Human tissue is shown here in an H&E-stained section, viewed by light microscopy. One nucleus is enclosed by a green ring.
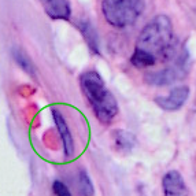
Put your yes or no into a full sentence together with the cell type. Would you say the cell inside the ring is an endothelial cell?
Yes, the cell inside the ring in this section represents an endothelial cell.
